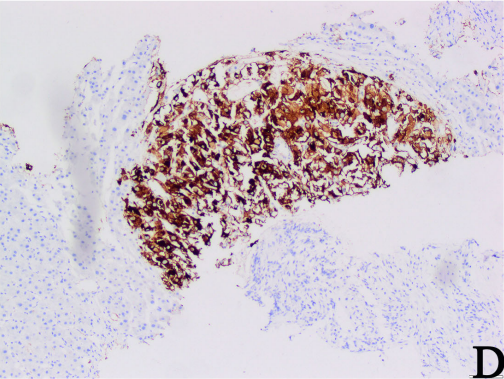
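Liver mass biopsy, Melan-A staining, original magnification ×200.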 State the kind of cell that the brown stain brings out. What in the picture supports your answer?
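Tumor cells. A sharply bounded nodule of cells is diffusely and strongly brown. The brown lies in the cytoplasm. The surrounding cells with blue nuclei are unstained.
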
